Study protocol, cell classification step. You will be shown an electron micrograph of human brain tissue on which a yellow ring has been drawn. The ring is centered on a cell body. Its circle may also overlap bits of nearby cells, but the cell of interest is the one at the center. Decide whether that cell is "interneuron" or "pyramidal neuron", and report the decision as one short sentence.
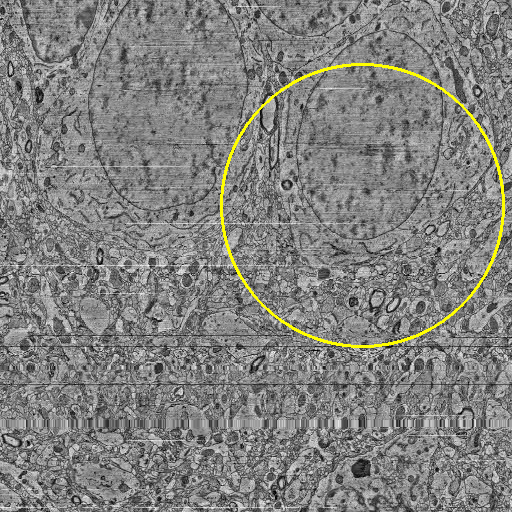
The marked cell is a pyramidal neuron.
